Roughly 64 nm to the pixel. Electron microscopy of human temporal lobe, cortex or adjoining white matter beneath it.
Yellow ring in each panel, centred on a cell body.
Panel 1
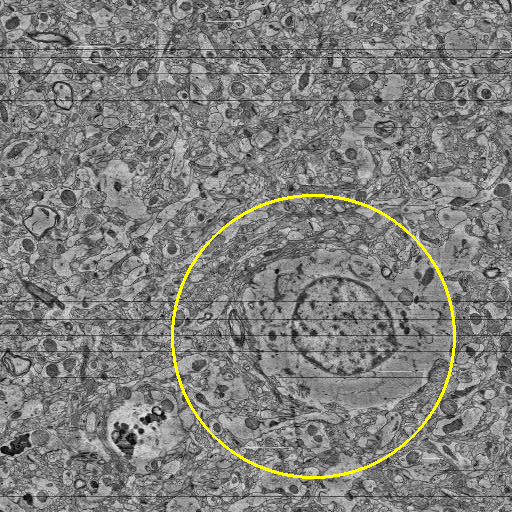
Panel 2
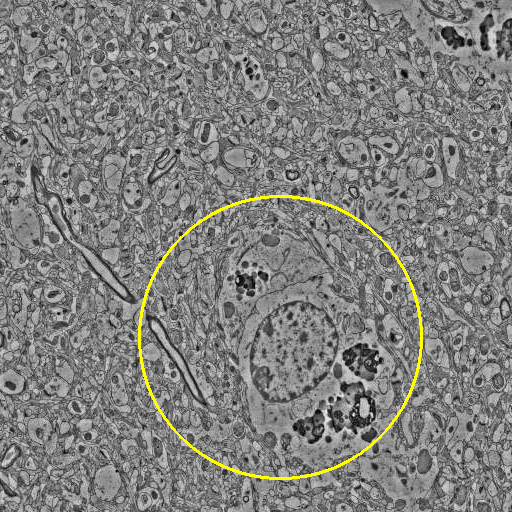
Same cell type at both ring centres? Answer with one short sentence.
Yes, both cells are of the same type.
